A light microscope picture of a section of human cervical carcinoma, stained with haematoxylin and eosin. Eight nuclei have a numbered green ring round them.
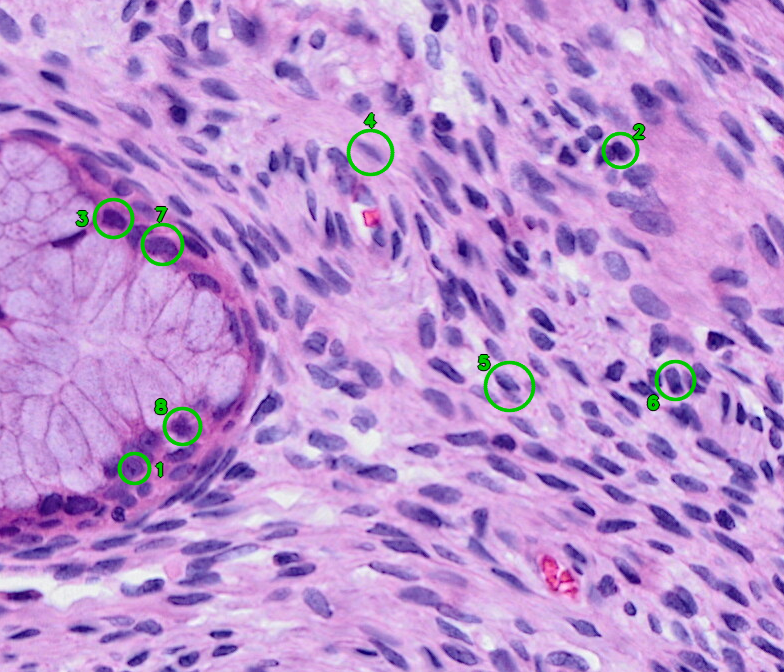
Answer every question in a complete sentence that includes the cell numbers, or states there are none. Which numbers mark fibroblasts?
The cells assigned the numbers 4, 5 and 6 are fibroblasts.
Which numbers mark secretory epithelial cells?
The cells to which the numbers 1, 3, 7 and 8 refer are secretory epithelial cells.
